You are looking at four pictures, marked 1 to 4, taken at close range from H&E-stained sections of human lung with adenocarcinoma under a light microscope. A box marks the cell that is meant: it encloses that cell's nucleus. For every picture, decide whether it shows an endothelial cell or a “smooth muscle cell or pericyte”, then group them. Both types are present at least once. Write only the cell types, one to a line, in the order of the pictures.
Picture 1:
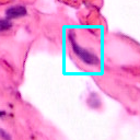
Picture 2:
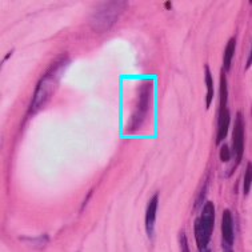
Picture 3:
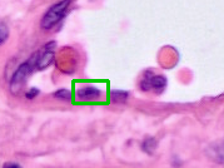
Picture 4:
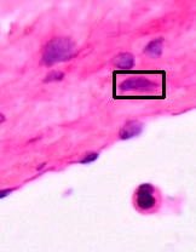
endothelial cell
endothelial cell
endothelial cell
smooth muscle cell or pericyte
